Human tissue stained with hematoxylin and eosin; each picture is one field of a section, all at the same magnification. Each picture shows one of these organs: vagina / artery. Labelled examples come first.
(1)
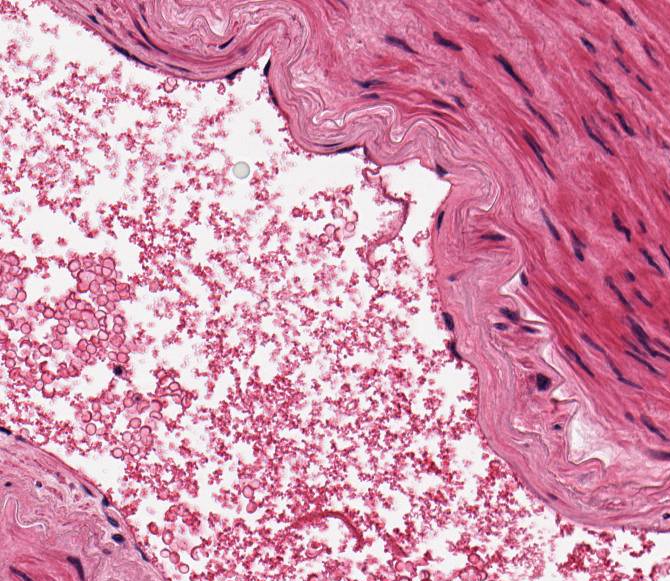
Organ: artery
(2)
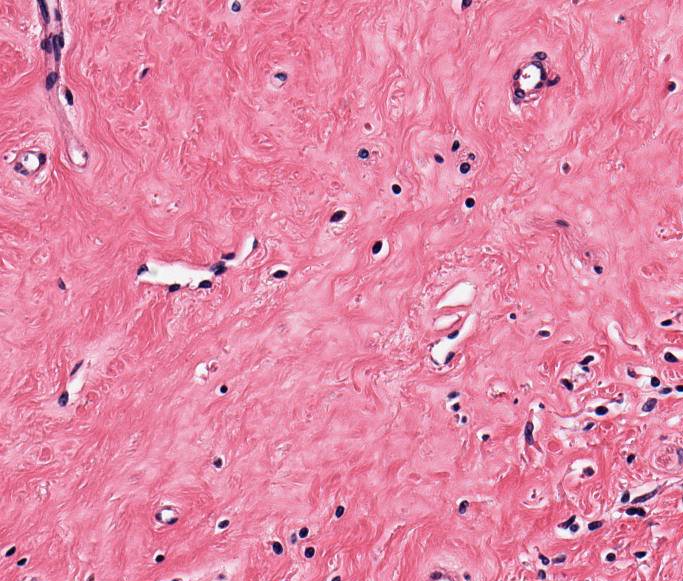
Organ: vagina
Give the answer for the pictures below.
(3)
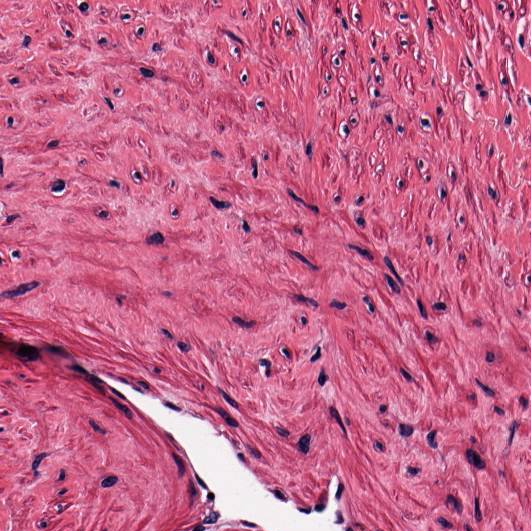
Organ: artery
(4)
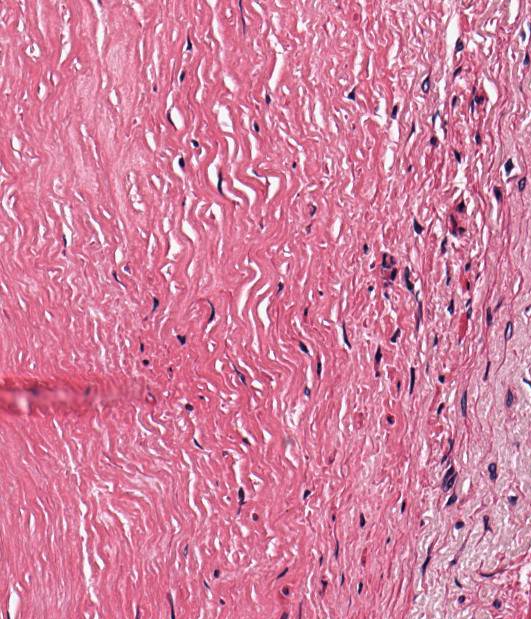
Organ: artery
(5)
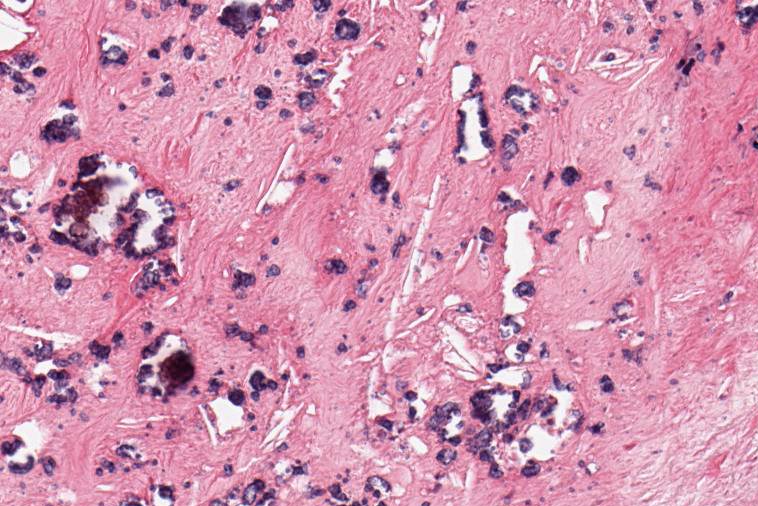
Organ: artery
